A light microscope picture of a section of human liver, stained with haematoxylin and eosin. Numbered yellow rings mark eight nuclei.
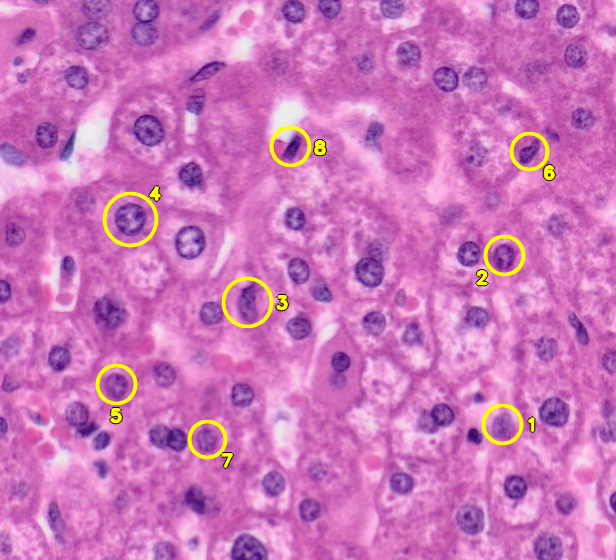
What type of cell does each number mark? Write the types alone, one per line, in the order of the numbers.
Kupffer cell
hepatocyte
Kupffer cell
hepatocyte
hepatocyte
fibroblast or stellate cell
hepatocyte
fibroblast or stellate cell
